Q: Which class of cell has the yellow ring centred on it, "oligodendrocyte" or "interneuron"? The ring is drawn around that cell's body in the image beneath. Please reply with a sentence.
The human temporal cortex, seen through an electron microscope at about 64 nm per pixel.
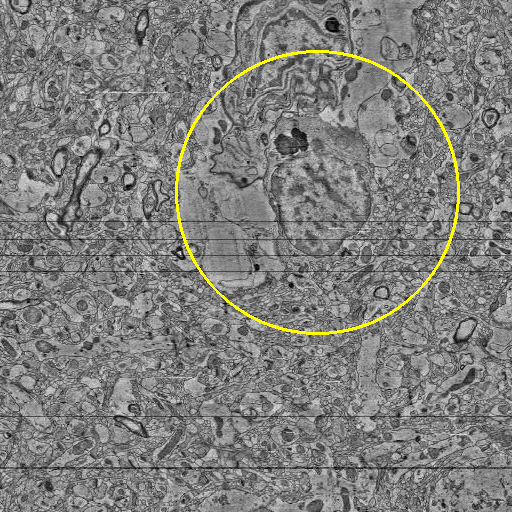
It is centred on an oligodendrocyte.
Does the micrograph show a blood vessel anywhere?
Yes, the image shows a blood vessel.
